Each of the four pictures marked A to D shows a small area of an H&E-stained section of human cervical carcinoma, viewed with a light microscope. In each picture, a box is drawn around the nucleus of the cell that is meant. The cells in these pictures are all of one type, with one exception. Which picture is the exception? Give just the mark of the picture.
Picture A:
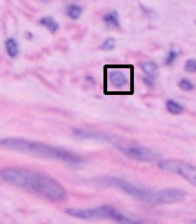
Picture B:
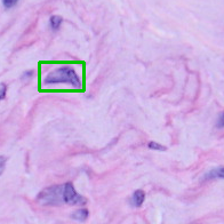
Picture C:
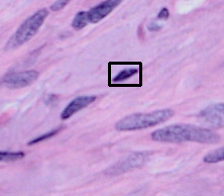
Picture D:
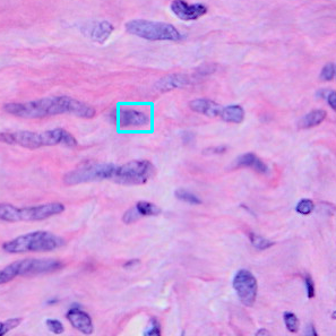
C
